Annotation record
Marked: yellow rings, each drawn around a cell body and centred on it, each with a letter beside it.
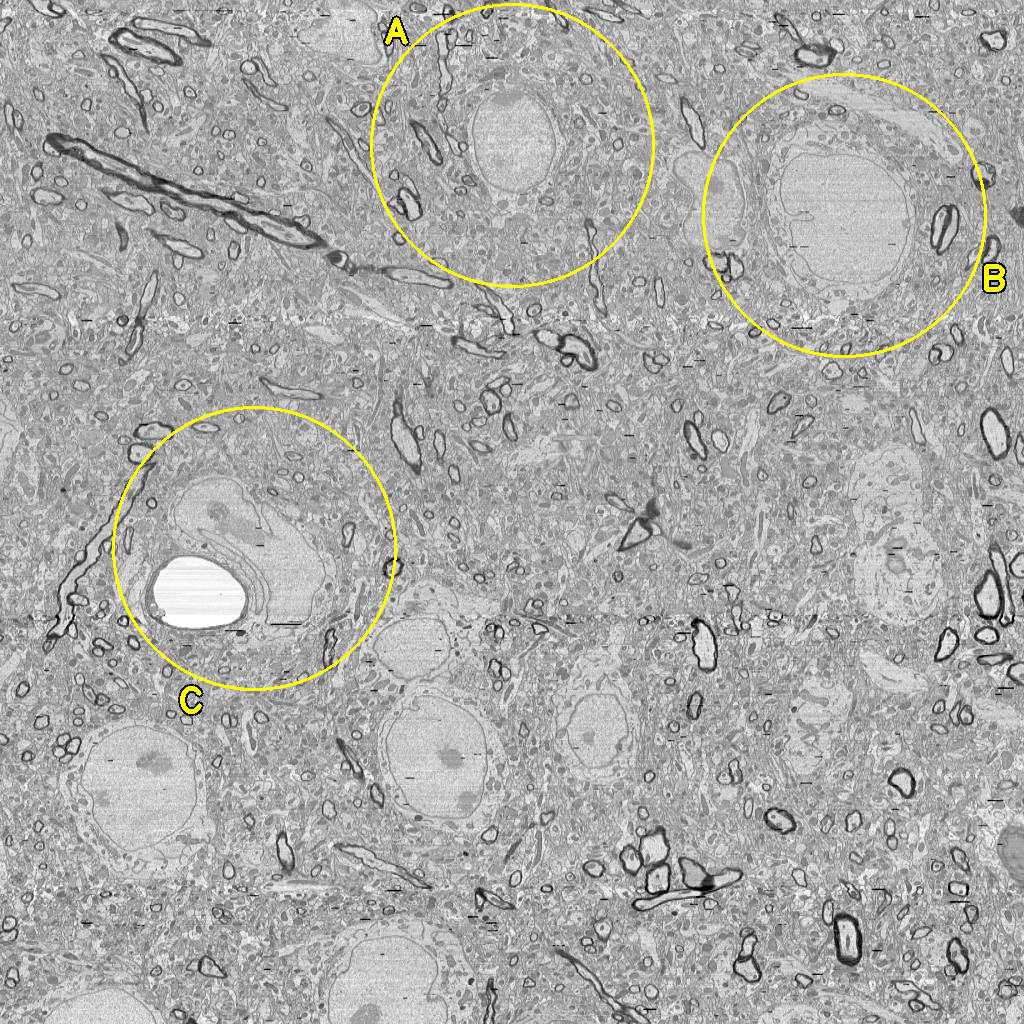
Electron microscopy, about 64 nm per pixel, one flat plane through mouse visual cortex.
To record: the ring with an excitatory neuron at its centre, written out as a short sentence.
The ring centred on it is ring B.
